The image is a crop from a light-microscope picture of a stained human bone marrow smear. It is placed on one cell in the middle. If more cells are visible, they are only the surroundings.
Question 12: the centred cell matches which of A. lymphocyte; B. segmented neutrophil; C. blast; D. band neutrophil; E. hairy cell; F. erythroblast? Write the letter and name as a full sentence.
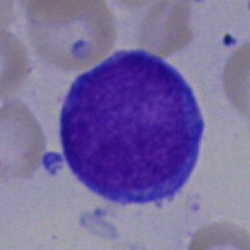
It is a blast that occupies the centre of the crop, so option C is correct.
